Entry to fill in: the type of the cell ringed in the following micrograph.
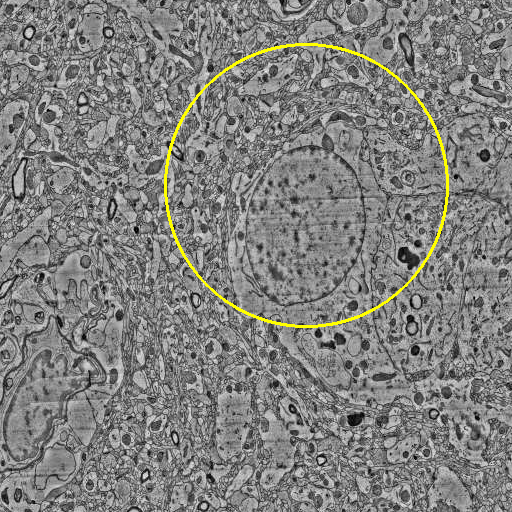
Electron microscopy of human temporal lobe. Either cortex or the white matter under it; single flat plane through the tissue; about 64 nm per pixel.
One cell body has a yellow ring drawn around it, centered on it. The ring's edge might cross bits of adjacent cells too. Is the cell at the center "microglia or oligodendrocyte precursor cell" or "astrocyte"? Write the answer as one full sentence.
This entry names an astrocyte as the cell whose body lies at the ring's center.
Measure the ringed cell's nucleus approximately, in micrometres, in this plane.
Approximately 10 by 8 micrometers in this plane.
